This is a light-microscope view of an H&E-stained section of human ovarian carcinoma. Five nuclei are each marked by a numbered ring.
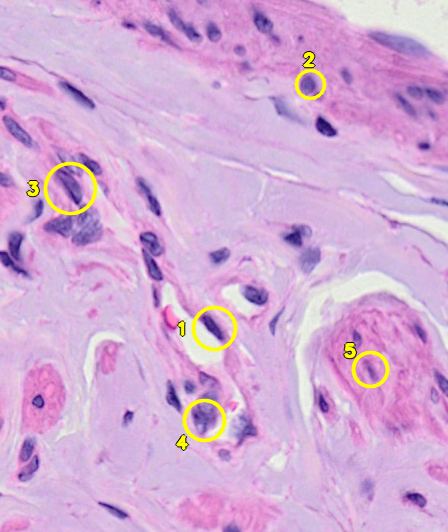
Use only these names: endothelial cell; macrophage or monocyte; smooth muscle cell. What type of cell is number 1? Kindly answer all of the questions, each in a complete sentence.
The cell marked with number 1 is an endothelial cell.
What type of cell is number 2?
The cell referenced by the number 2 is a smooth muscle cell in this field.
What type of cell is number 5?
In this section, number 5 marks a smooth muscle cell.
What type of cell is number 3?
The numeral 3 marks an endothelial cell in this section.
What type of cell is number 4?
Recognised here as an endothelial cell is the cell numbered 4.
